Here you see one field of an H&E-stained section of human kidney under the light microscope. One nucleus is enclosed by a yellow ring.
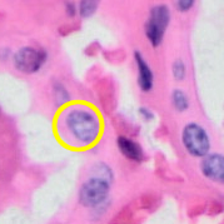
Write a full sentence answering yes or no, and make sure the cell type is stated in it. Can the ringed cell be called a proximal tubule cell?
No, a collecting duct cell is what the ringed cell is, not a proximal tubule cell.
